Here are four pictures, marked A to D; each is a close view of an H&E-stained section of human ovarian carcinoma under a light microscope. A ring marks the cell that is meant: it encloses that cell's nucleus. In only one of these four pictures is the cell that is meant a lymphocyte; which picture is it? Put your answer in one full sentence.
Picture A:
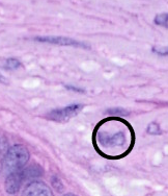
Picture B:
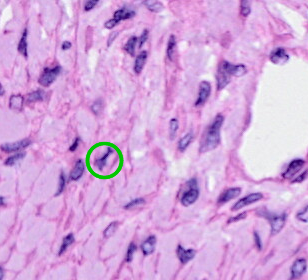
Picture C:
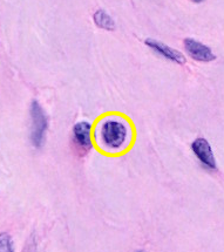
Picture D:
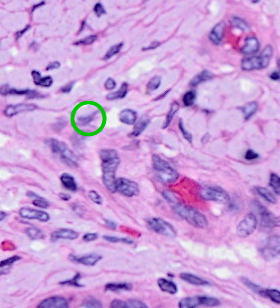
The cell in picture C is the lymphocyte.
